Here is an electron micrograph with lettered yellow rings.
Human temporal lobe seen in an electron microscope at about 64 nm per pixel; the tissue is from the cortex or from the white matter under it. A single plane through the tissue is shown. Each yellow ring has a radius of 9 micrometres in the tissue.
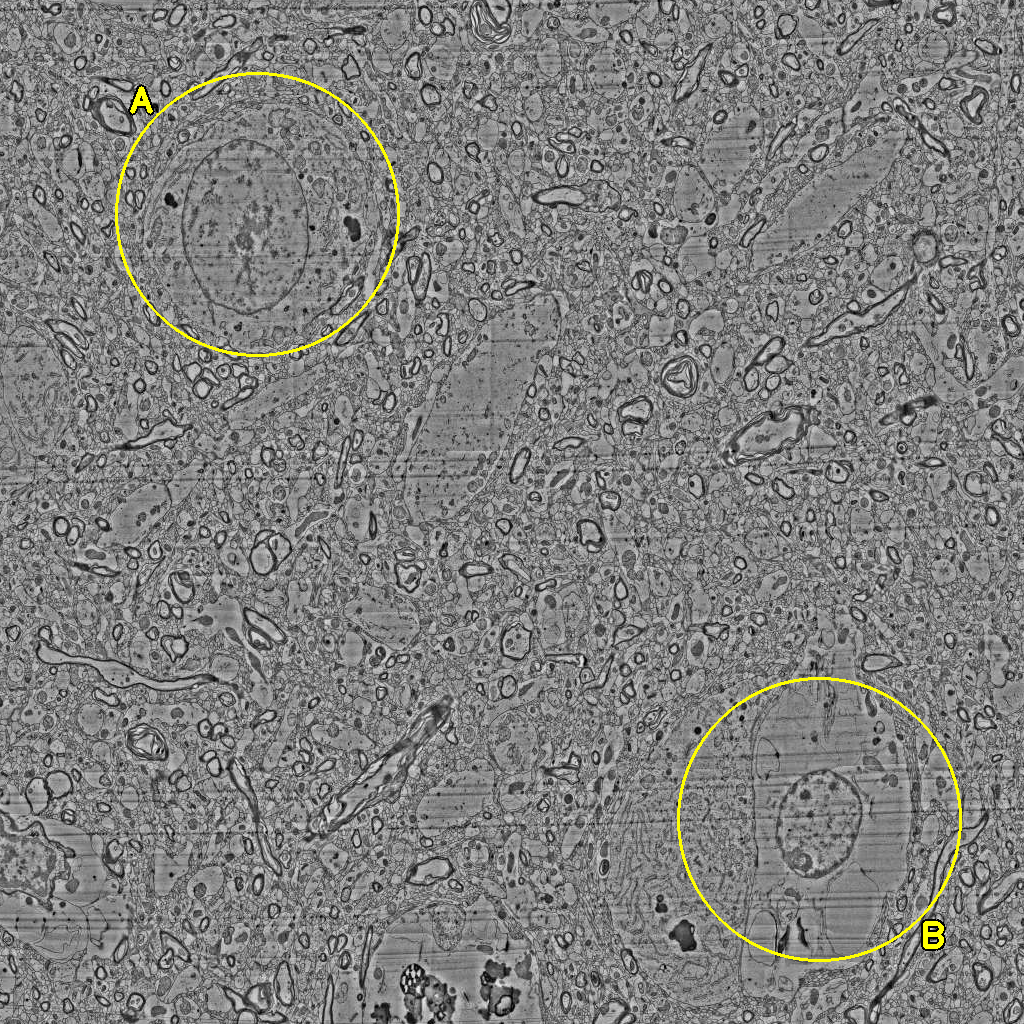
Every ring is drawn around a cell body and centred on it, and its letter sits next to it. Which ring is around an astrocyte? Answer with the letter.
B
